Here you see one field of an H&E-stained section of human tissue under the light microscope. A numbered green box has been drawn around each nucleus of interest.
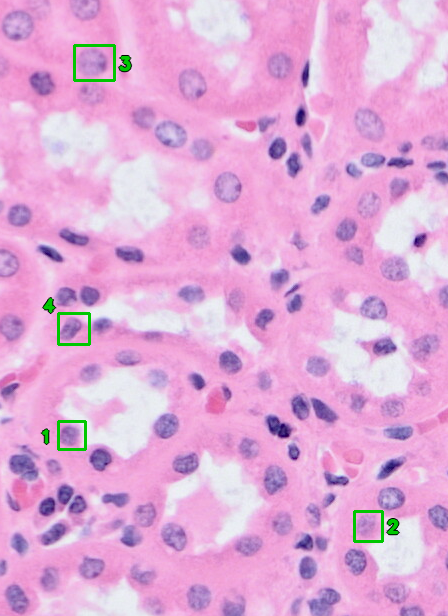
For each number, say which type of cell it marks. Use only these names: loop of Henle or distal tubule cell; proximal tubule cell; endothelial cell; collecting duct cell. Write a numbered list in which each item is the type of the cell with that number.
1. loop of Henle or distal tubule cell
2. loop of Henle or distal tubule cell
3. proximal tubule cell
4. loop of Henle or distal tubule cell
